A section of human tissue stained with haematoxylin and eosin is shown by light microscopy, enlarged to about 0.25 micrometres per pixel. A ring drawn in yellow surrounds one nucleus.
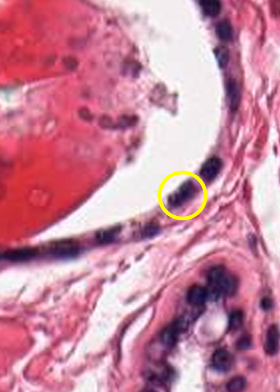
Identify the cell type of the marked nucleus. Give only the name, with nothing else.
thyroid follicular cell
